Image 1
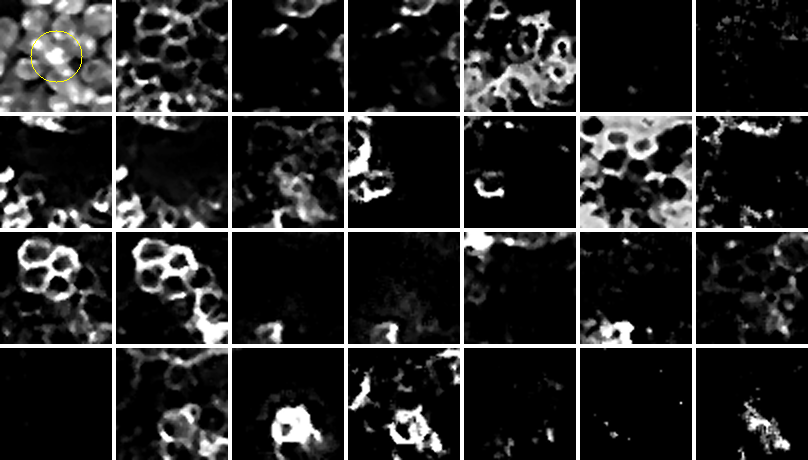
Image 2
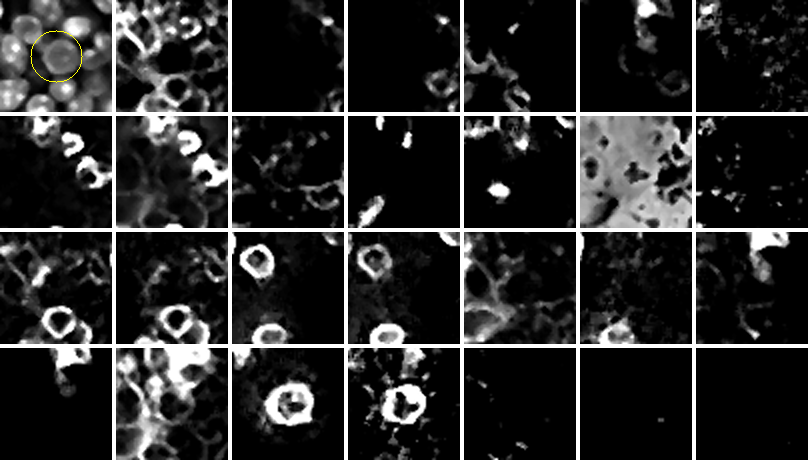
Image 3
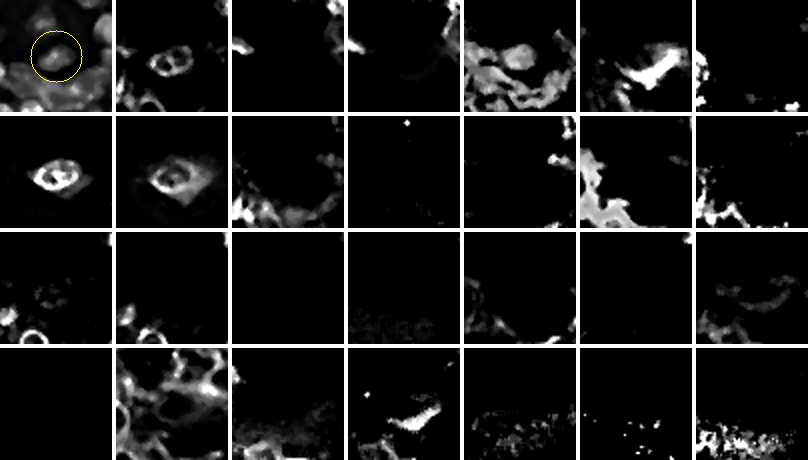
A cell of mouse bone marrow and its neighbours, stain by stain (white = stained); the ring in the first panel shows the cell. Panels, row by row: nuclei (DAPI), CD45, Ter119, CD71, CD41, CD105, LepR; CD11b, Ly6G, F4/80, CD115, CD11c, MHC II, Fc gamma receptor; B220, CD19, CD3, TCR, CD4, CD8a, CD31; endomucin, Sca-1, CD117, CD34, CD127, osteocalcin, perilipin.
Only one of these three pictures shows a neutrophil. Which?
Picture 3.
